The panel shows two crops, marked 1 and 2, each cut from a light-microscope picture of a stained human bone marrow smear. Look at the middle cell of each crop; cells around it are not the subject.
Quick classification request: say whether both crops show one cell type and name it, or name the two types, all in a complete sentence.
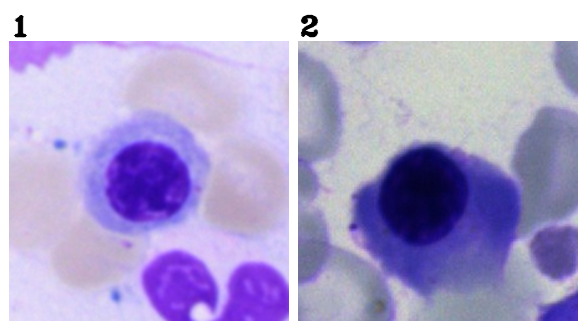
Yes, the same answer goes for both crops, namely erythroblasts.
